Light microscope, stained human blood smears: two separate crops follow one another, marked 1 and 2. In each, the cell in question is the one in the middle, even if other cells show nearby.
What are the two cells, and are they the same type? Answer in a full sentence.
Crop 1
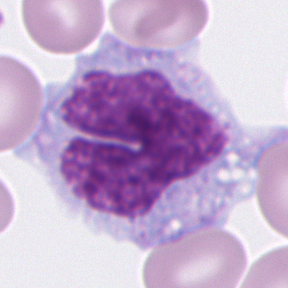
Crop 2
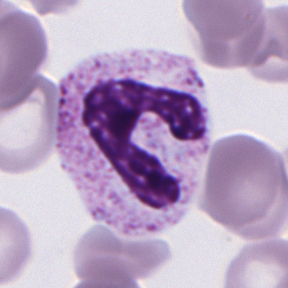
No, crop 1 shows a monocyte, and crop 2, by contrast, shows a segmented neutrophil.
